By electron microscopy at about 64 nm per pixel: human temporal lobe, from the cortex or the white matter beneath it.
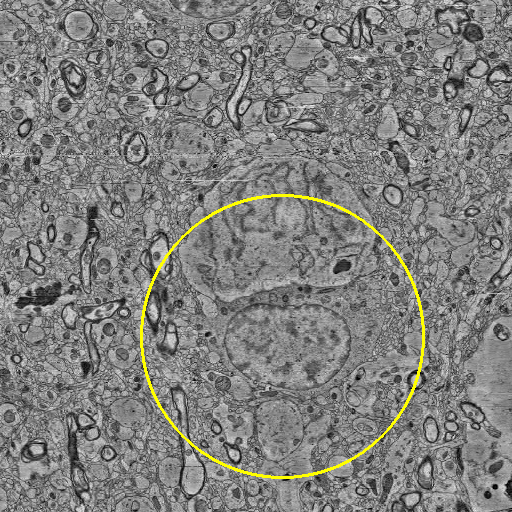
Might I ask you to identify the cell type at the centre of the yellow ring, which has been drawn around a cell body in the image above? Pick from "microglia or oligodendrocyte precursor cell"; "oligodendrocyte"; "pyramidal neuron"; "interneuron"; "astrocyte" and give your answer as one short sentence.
The centre of the ring falls on an oligodendrocyte.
